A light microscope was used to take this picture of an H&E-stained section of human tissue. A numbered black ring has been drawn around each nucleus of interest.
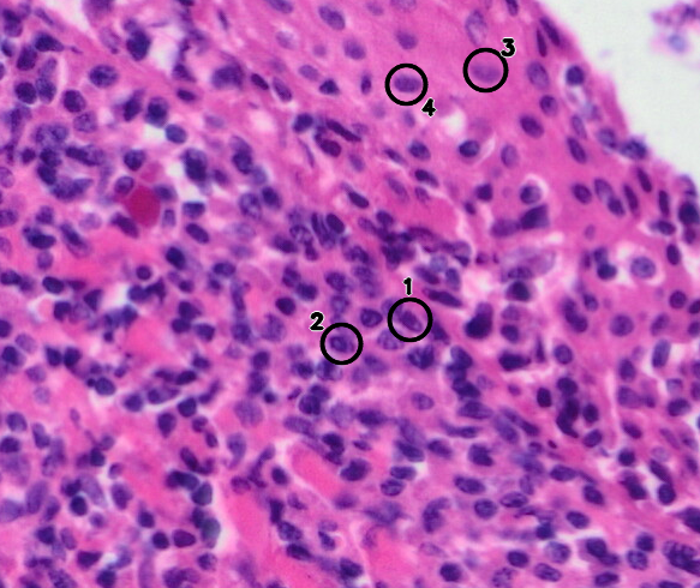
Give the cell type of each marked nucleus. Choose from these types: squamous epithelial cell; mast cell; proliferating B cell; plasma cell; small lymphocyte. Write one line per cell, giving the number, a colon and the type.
1: plasma cell
2: plasma cell
3: squamous epithelial cell
4: squamous epithelial cell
